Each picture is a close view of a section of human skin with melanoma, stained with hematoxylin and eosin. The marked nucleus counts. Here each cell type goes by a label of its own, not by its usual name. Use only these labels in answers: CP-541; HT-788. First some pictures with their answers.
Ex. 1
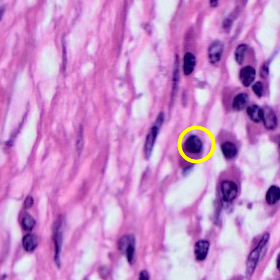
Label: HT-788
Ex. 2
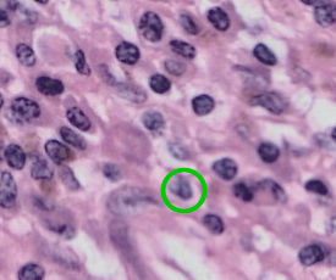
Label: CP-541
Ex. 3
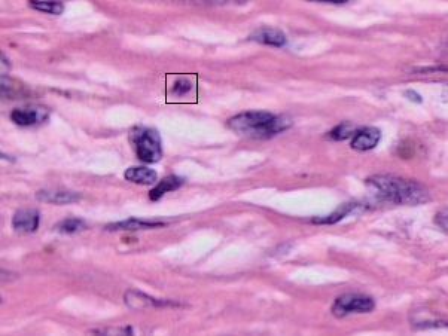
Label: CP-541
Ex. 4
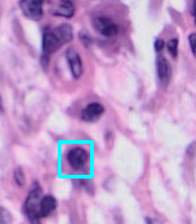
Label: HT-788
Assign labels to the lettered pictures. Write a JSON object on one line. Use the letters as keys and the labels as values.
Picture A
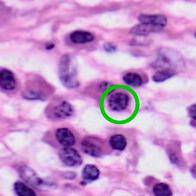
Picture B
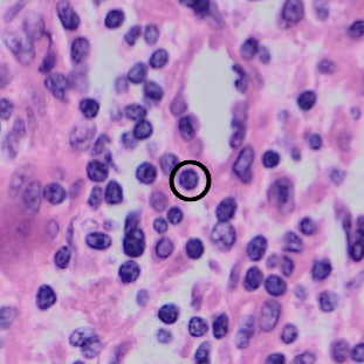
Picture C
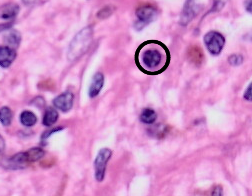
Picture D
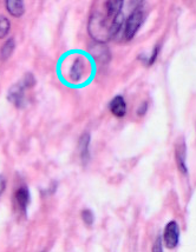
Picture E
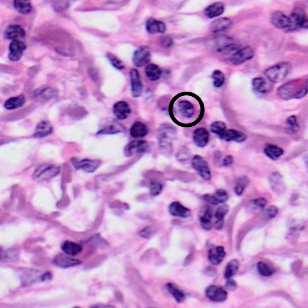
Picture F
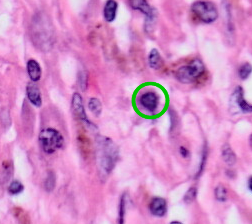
{"A": "HT-788", "B": "CP-541", "C": "HT-788", "D": "CP-541", "E": "HT-788", "F": "HT-788"}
